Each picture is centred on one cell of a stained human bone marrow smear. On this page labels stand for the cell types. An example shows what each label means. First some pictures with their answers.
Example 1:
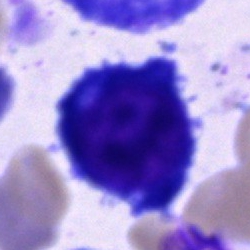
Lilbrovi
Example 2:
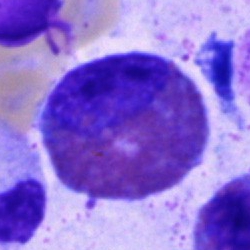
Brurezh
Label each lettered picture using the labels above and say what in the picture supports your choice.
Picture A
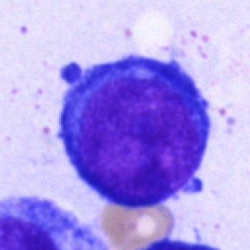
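Answer: Lilbrovi. The cytoplasm forms only a thin rim that is deep blue.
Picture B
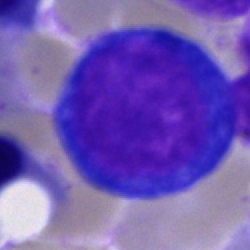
Answer: Lilbrovi. The chromatin looks fine and evenly dispersed rather than clumped.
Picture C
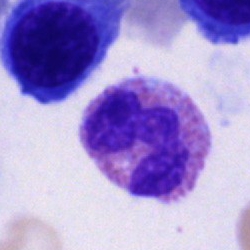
Answer: Brurezh. The chromatin is dark purple and coarsely clumped.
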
